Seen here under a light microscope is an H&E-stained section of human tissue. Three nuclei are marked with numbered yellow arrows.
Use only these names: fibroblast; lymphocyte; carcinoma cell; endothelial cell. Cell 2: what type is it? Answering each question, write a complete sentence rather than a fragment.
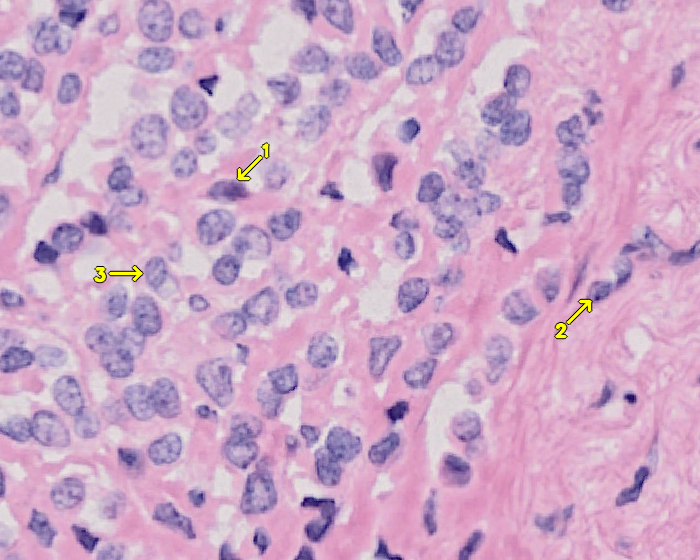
The mark numbered 2 indicates the nucleus of an endothelial cell.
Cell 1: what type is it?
To a carcinoma cell belongs the nucleus marked 1.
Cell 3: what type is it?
What the number 3 marks in this field is a carcinoma cell.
